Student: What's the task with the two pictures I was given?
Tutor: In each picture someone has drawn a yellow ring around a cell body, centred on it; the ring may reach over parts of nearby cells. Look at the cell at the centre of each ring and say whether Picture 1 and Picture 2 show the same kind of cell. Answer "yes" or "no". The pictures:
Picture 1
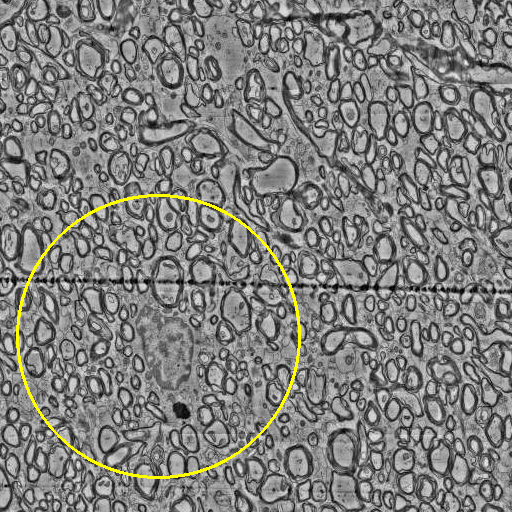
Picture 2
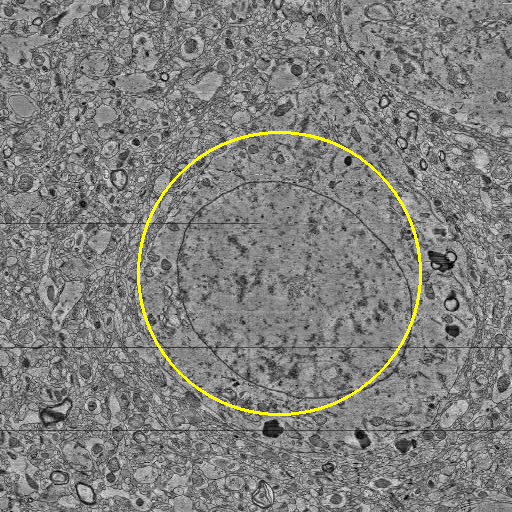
no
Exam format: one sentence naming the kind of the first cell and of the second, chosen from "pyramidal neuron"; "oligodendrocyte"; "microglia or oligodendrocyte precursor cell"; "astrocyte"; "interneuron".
The first picture's cell is an oligodendrocyte, and the second picture's cell is a pyramidal neuron.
